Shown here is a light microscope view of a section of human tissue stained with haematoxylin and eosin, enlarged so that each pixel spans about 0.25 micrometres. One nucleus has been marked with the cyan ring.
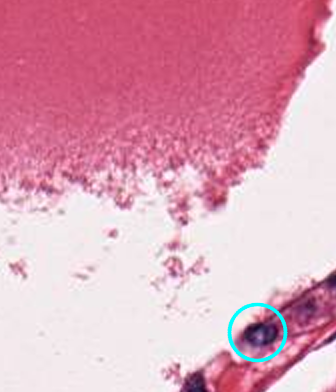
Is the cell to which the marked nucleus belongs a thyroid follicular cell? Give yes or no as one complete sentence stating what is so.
Yes, what is marked here is the nucleus of a thyroid follicular cell.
